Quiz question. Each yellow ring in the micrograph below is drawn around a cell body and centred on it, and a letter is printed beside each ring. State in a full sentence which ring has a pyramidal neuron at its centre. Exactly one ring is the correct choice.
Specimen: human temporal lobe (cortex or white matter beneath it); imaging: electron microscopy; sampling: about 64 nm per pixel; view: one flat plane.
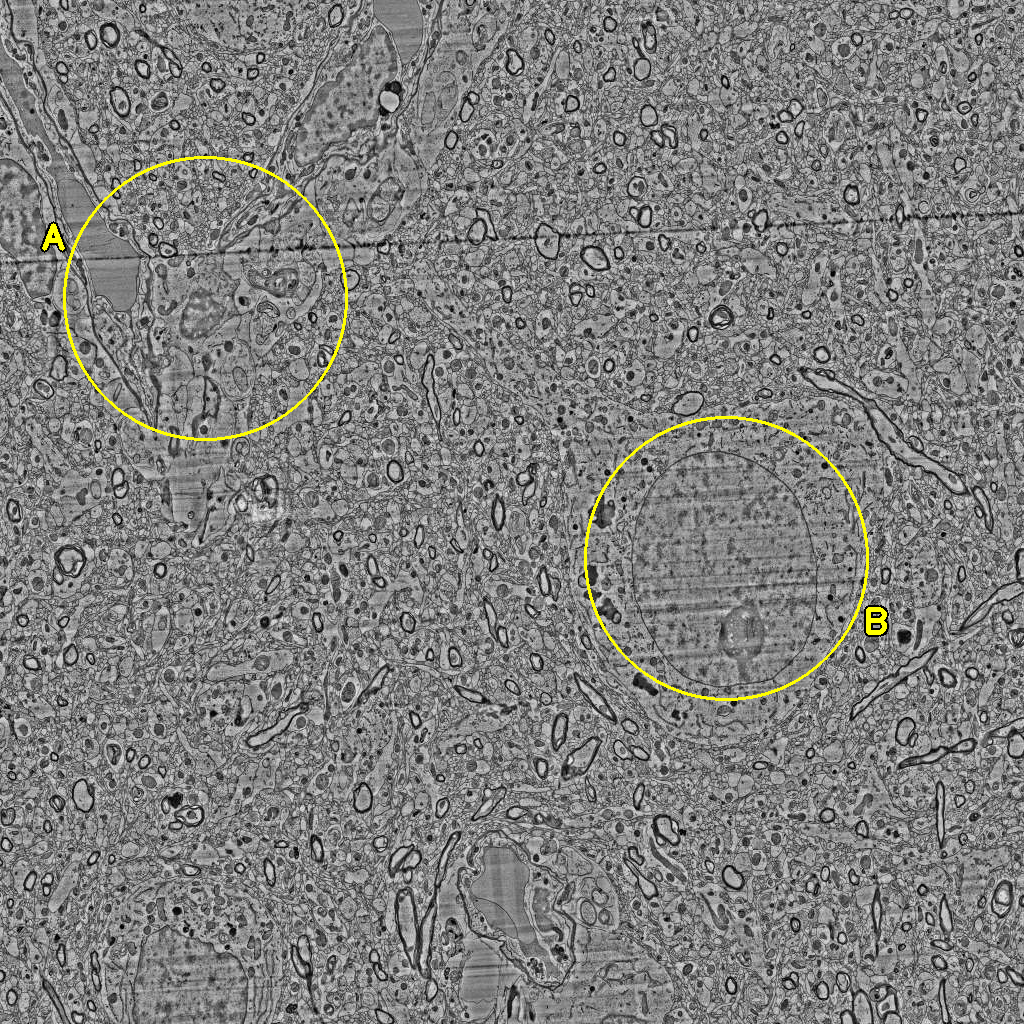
The correct ring is ring B.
